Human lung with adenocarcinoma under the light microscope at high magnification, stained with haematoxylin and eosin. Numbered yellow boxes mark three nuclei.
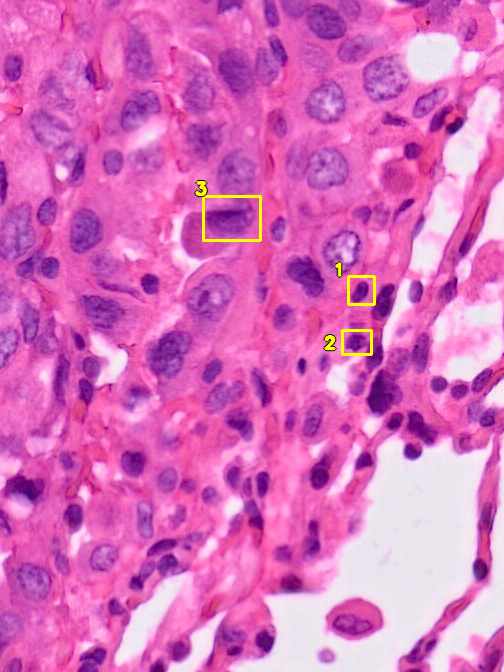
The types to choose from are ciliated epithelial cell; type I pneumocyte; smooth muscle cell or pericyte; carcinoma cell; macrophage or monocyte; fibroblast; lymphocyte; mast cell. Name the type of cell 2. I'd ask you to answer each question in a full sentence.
Number 2 is placed on a lymphocyte here.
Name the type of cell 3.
The cell pointed out as number 3 is a carcinoma cell.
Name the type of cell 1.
The cell assigned the number 1 is a lymphocyte.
